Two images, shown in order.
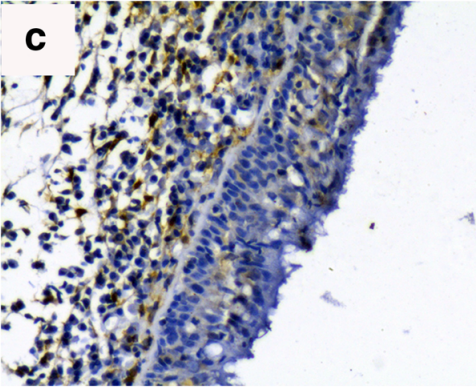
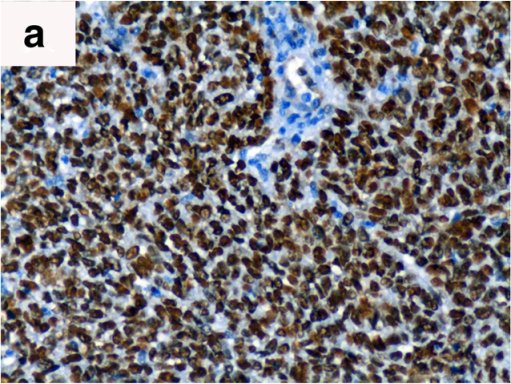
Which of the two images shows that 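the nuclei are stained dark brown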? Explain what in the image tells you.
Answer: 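The second image. Second image: nearly all nuclei in the cell sheets are dark brown.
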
